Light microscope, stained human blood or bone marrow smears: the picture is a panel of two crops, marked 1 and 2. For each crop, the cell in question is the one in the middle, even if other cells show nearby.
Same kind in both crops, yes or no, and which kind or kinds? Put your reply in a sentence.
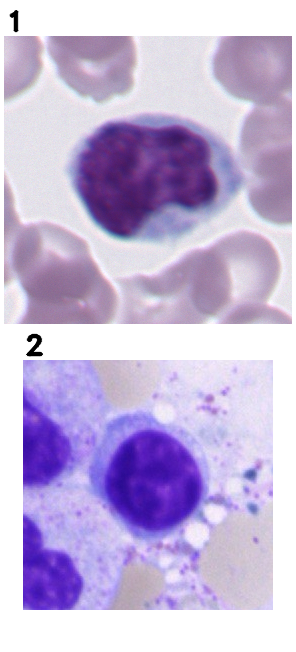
Yes, at the centre of both crops are lymphocytes.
